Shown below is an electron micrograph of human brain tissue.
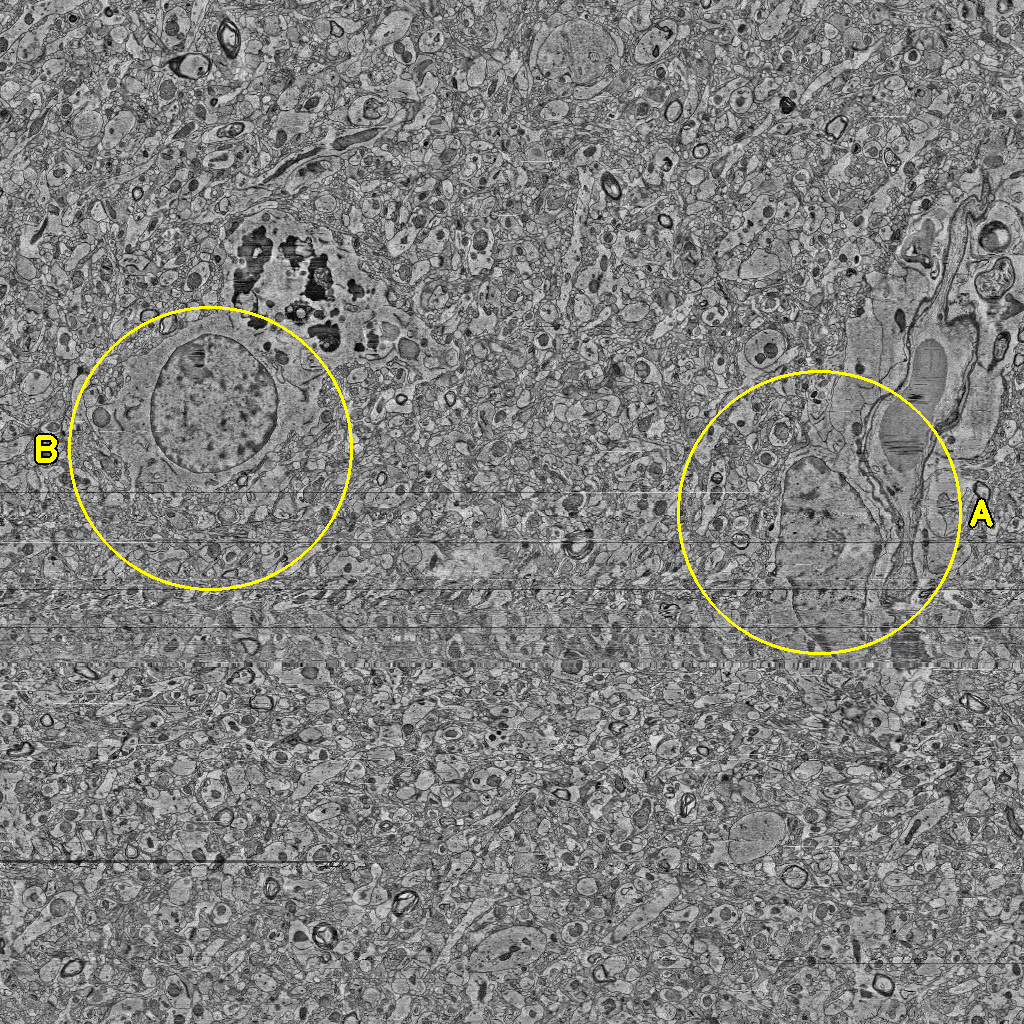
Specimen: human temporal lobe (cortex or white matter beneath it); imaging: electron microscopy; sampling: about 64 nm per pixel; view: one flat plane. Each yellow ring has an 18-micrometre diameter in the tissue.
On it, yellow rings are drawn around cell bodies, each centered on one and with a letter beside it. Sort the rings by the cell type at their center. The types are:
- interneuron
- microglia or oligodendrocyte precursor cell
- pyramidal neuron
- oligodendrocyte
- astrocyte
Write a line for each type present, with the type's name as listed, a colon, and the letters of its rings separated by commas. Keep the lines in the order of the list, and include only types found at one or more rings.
microglia or oligodendrocyte precursor cell: A
astrocyte: B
